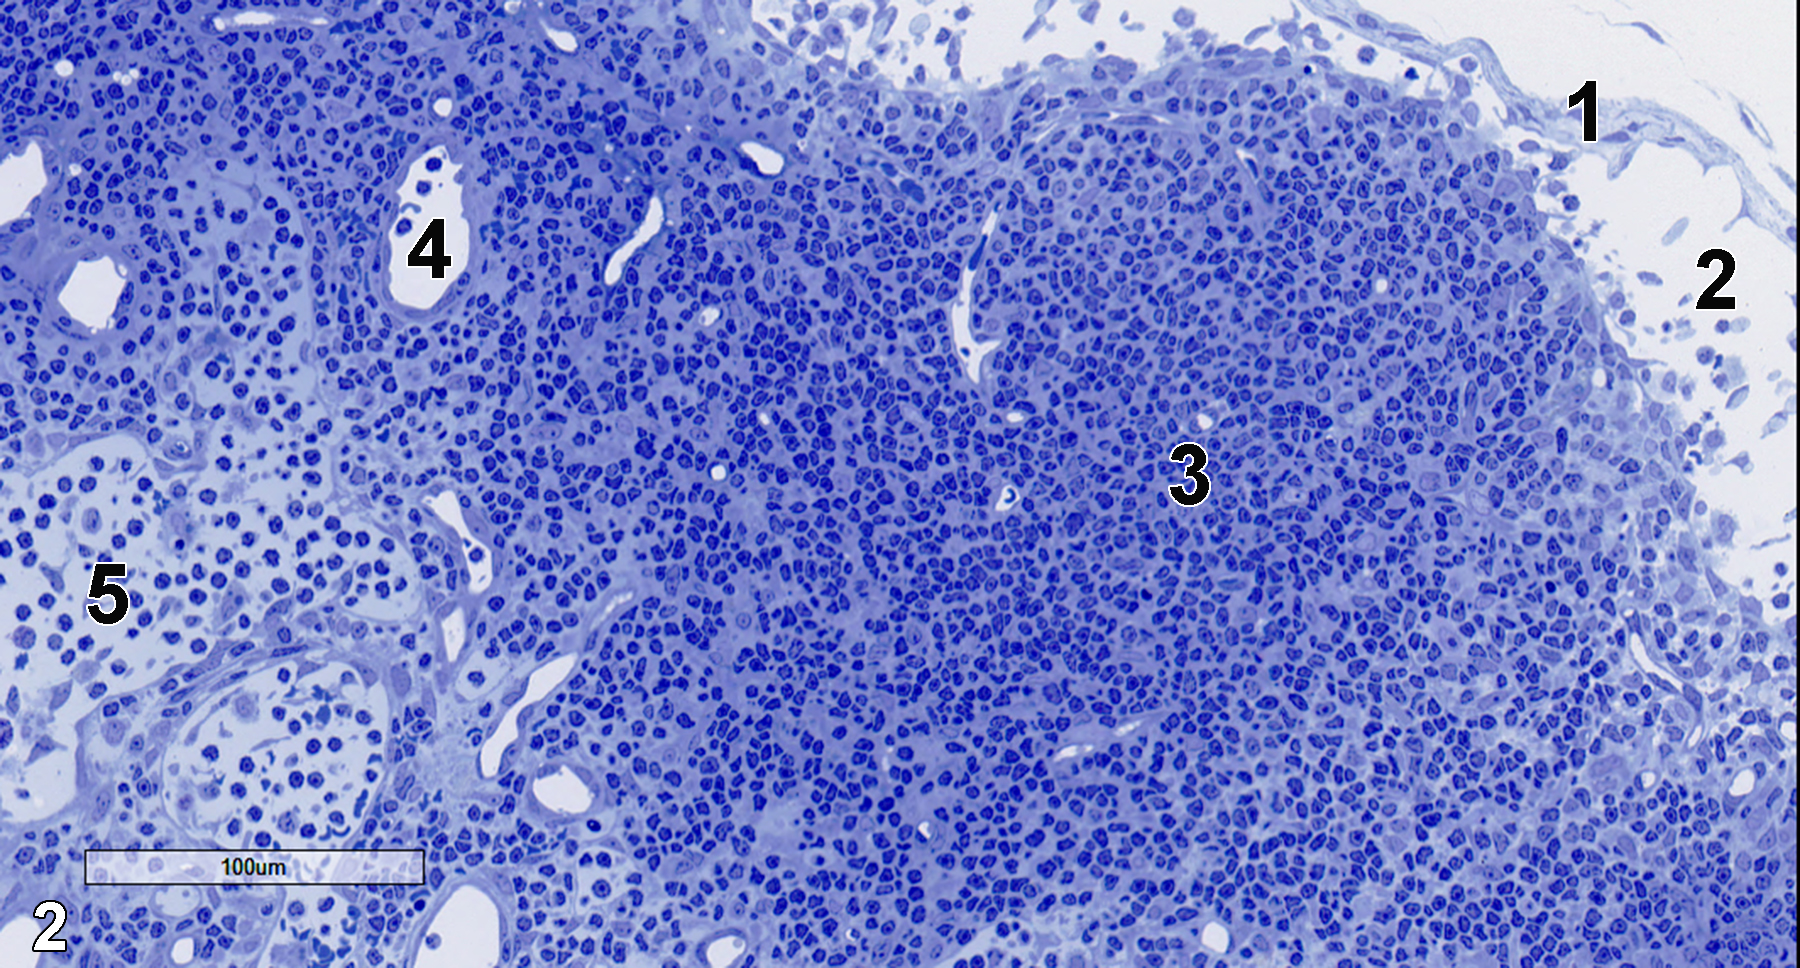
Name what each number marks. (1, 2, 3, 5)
1: capsule
2: subcapsular sinus
3: lymphocytes
5: medullary sinuses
